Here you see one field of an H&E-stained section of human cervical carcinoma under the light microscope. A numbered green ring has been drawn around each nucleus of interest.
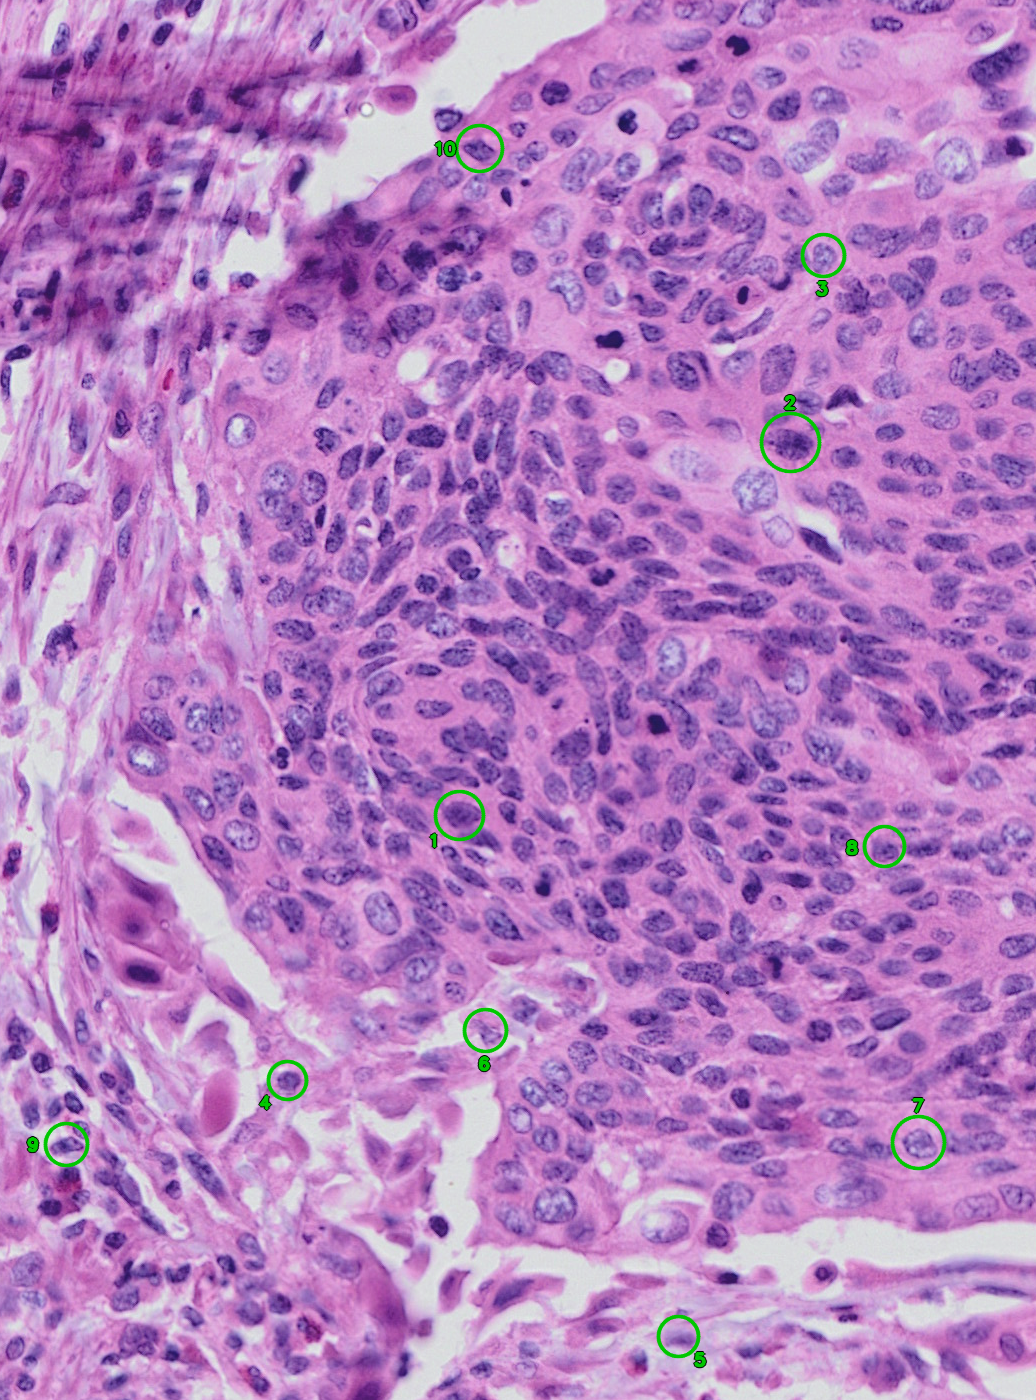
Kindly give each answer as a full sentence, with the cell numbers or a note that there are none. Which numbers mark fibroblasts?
Only the cell carrying number 5 is a fibroblast.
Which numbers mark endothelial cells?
In the set of numbered cells, endothelial cells are not found.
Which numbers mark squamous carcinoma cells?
By cell type, the cells numbered 1, 2, 3, 7, 8 and 10 are squamous carcinoma cells.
